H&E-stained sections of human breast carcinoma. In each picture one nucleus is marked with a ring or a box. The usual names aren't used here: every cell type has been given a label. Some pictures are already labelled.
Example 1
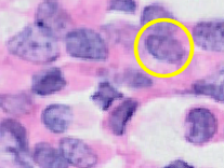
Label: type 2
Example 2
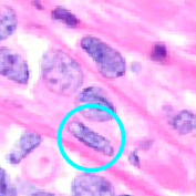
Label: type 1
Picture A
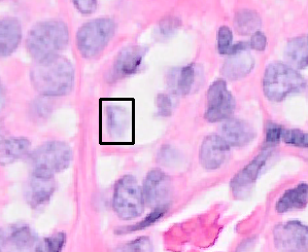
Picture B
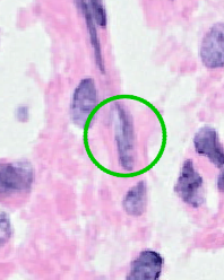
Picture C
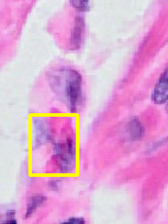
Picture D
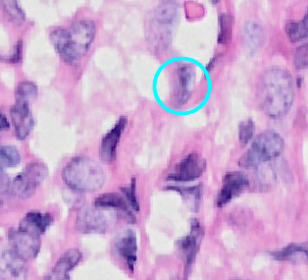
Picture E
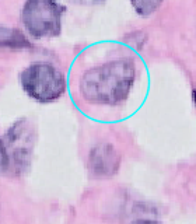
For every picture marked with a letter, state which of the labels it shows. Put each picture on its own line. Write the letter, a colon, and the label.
A: type 2
B: type 1
C: type 1
D: type 1
E: type 2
